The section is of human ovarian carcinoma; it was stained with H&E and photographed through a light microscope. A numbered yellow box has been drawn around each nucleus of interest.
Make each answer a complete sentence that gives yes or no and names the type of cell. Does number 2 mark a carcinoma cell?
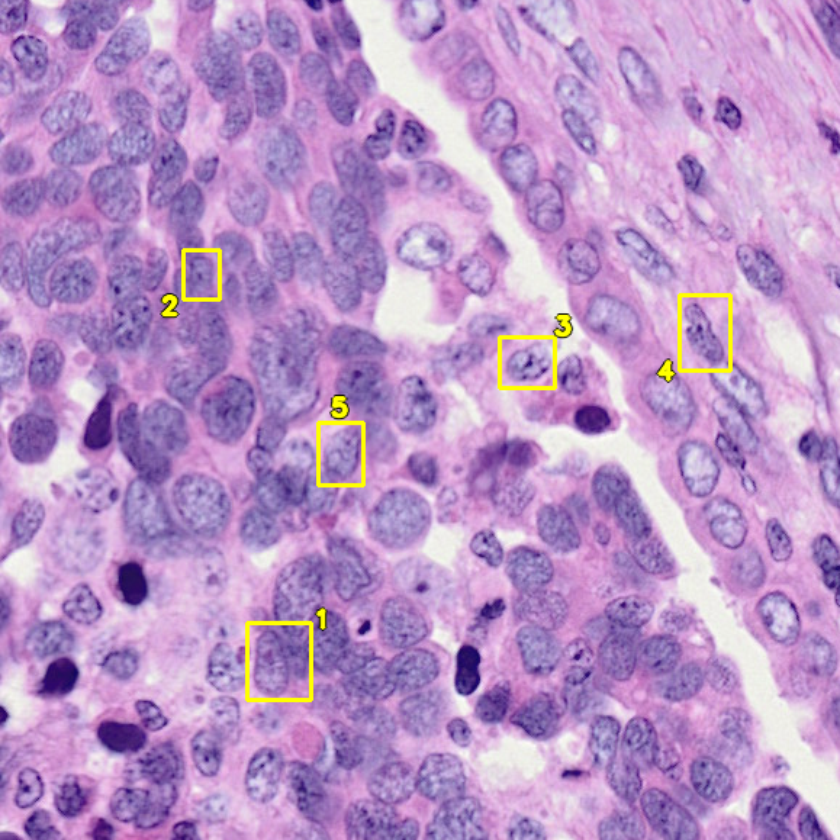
Yes, the cell bearing the number 2 is a carcinoma cell.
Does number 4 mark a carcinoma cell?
No, the cell under number 4 is a macrophage or monocyte instead of a carcinoma cell.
